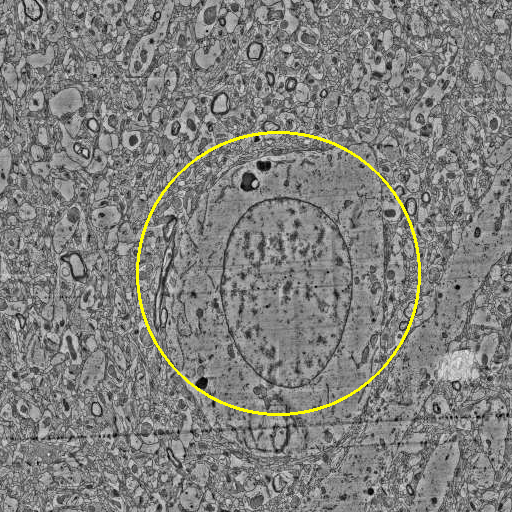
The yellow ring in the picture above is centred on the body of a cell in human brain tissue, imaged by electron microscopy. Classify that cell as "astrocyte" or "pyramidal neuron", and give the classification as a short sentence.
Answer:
The cell in the middle of the ring is a pyramidal neuron.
